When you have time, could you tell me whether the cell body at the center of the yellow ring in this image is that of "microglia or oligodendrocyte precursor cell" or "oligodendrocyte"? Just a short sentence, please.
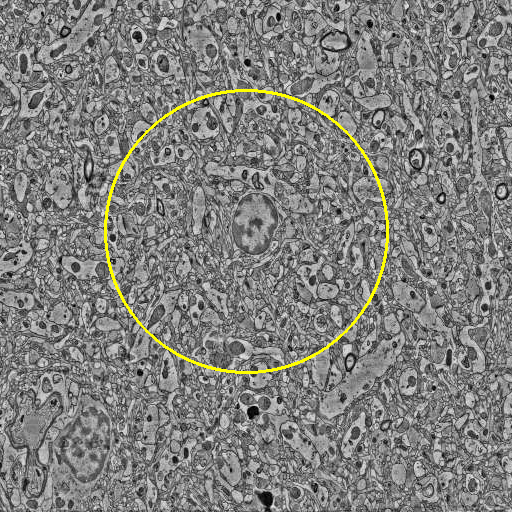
The cell body at the center of the ring is that of a microglial cell or oligodendrocyte precursor cell.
